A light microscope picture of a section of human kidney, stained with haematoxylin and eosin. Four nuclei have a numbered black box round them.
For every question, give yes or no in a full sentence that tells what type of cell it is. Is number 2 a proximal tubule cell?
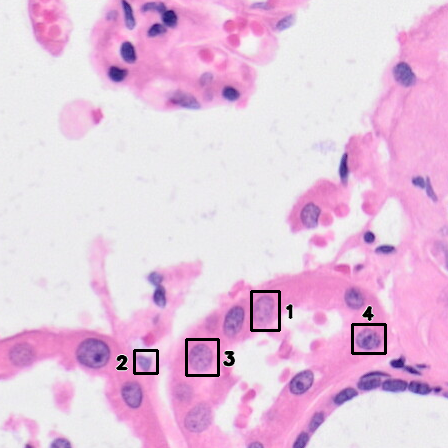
No, cell 2 has been misnamed; it is an endothelial cell, not a proximal tubule cell.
